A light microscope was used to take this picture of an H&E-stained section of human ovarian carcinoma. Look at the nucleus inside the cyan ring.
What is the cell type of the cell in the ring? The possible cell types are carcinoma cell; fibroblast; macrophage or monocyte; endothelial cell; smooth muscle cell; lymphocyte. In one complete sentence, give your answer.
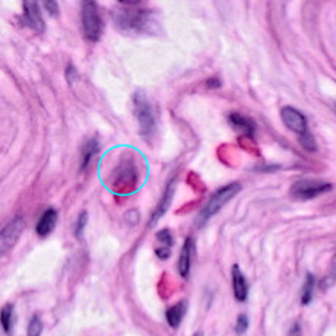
Among the cells in this section, the cell in the ring is an endothelial cell.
